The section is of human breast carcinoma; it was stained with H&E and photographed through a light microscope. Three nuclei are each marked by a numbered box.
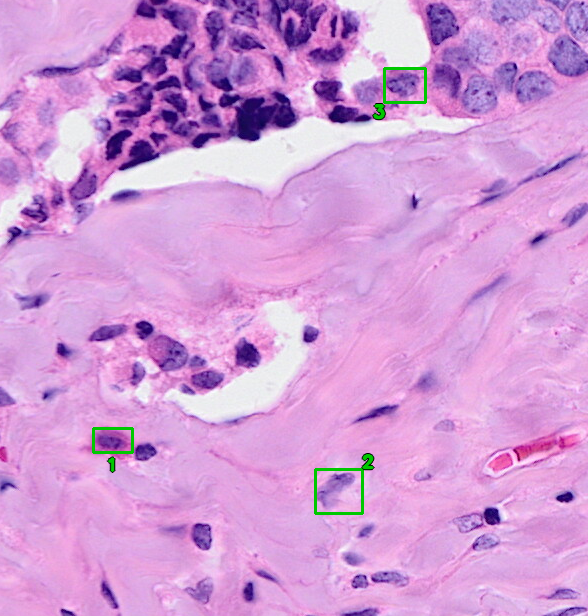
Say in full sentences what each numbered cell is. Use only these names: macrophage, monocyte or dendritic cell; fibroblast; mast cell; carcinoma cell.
Cell 1 is a mast cell, cell 2 is a fibroblast and cell 3 is a carcinoma cell.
